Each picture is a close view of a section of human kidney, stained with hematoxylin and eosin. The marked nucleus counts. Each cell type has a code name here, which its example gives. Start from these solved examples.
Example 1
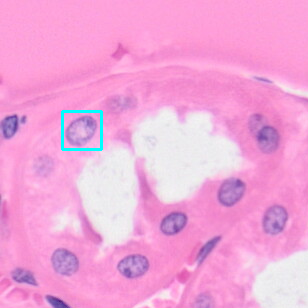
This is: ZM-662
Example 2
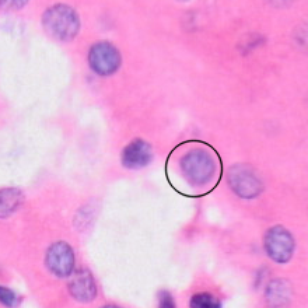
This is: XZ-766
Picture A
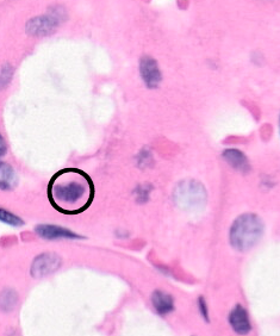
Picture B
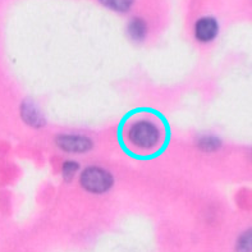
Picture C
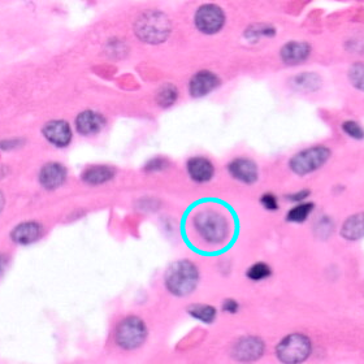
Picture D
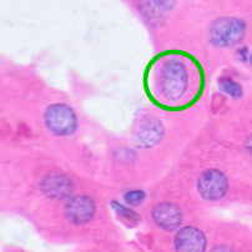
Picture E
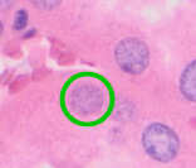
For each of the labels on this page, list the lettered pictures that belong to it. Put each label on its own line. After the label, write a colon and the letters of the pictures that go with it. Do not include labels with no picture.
ZM-662: E
XZ-766: A, B, C, D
